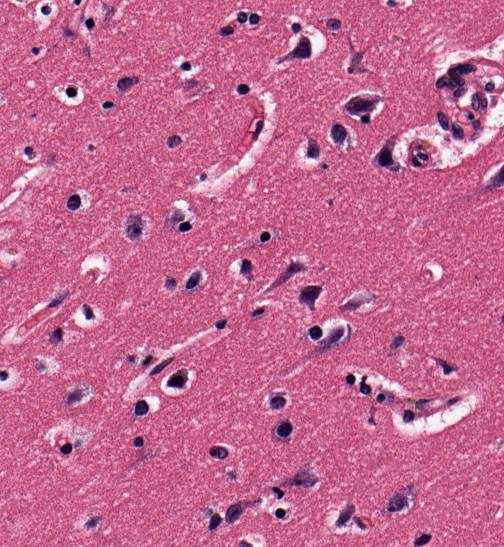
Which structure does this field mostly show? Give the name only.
cerebral cortex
